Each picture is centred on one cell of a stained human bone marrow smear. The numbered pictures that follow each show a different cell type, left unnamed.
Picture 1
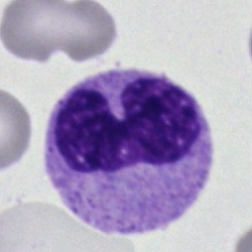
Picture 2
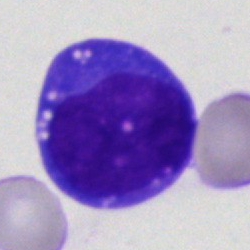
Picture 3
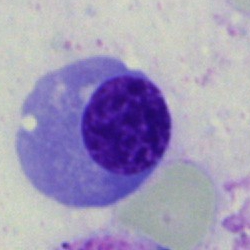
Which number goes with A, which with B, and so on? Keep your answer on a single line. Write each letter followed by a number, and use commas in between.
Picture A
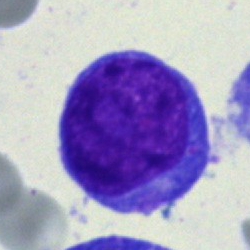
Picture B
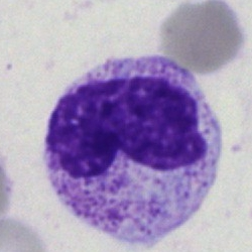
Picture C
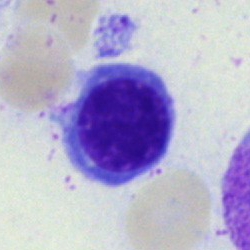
A 2, B 1, C 3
